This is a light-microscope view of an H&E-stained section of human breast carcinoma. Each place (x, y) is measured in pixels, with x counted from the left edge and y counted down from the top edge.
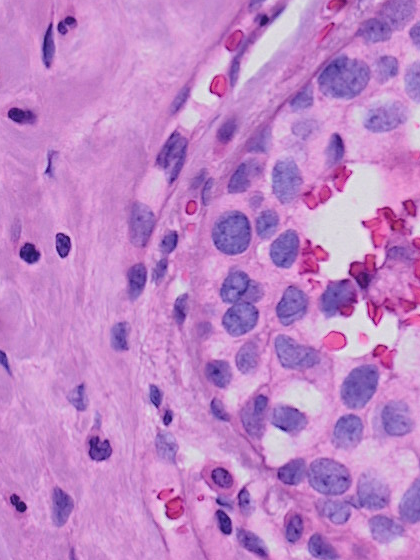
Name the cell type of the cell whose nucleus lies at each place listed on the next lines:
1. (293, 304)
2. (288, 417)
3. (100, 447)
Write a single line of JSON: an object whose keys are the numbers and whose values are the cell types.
{"1": "carcinoma cell", "2": "carcinoma cell", "3": "macrophage, monocyte or dendritic cell"}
